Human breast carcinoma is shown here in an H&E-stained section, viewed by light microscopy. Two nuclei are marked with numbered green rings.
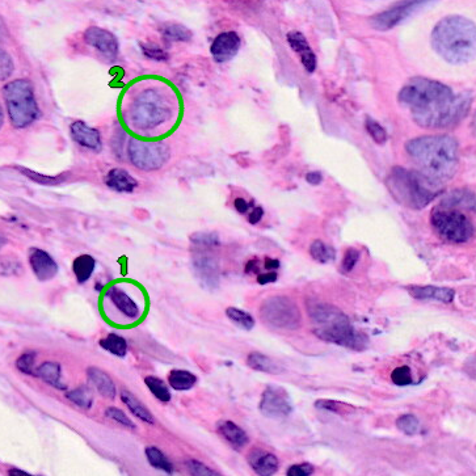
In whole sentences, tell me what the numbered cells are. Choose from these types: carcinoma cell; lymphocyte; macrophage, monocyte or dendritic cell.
Cell 1 is a lymphocyte and cell 2 is a carcinoma cell.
